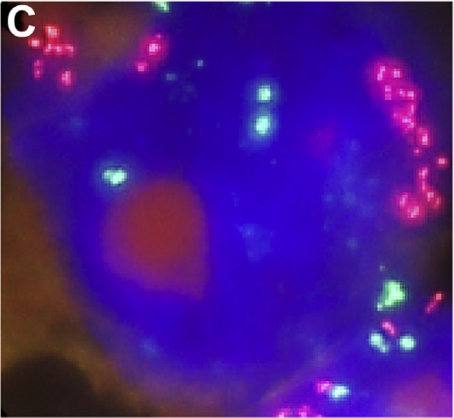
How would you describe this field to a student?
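A single large tumor cell fills the view, its nucleus stained blue and holding a large, rounded, reddish nucleolus. Along the edge of the nucleus, especially on the right and upper left, red dots gather in dense clusters and chains, far more of them than can easily be counted. Green dots are fewer, scattered singly or in pairs across the nucleus. A rim of orange-brown cytoplasm surrounds the nucleus at the lower left.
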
